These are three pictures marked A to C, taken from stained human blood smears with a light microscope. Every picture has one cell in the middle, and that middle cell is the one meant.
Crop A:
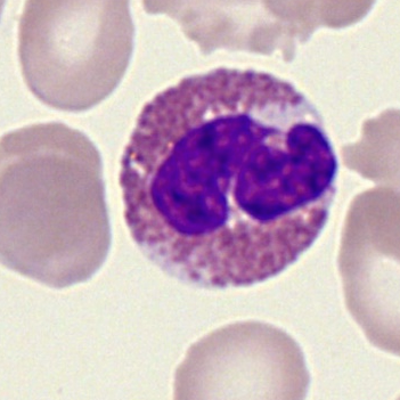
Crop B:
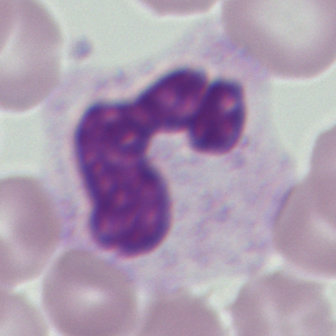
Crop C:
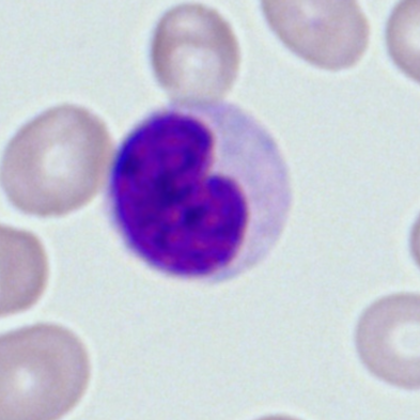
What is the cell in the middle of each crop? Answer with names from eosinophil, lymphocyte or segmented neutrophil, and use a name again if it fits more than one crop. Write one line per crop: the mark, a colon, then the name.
A: eosinophil
B: segmented neutrophil
C: lymphocyte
